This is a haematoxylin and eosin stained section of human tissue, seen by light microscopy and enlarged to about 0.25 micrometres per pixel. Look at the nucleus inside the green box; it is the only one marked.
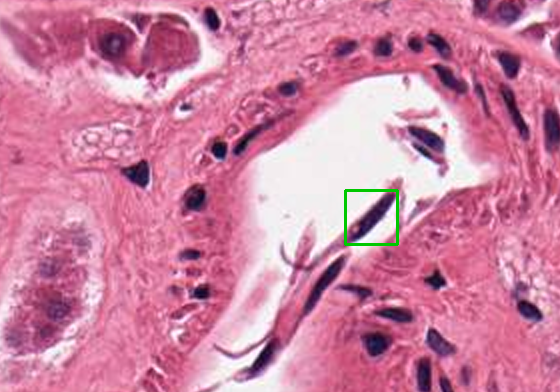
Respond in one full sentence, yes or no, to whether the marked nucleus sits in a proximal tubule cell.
No, it is a supporting cell whose nucleus is marked, not a proximal tubule cell.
